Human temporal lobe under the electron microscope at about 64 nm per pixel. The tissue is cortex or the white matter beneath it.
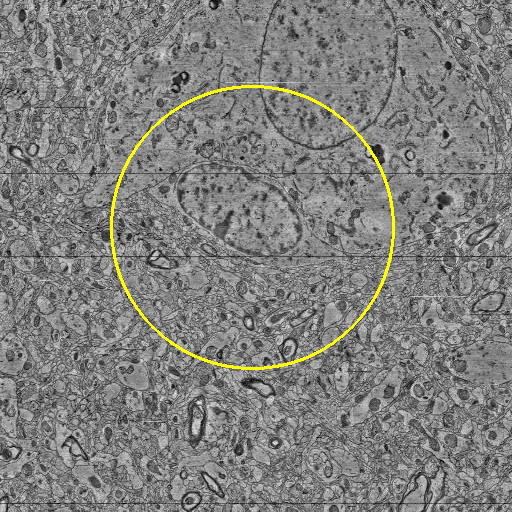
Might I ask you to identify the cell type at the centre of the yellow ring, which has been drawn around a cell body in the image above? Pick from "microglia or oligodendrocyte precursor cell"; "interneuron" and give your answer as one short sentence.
The centre of the ring falls on a microglial cell or oligodendrocyte precursor cell.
